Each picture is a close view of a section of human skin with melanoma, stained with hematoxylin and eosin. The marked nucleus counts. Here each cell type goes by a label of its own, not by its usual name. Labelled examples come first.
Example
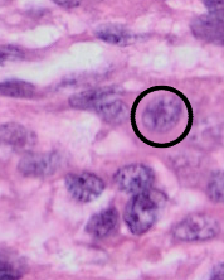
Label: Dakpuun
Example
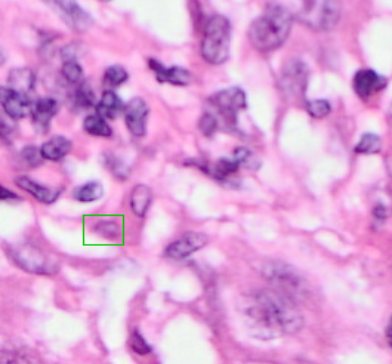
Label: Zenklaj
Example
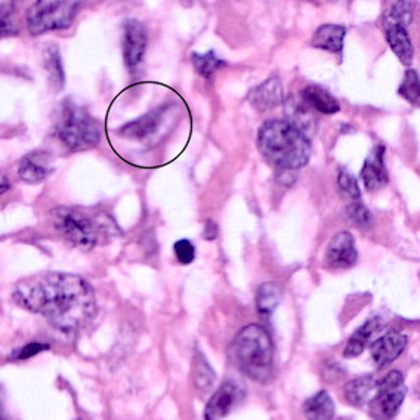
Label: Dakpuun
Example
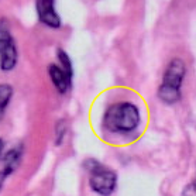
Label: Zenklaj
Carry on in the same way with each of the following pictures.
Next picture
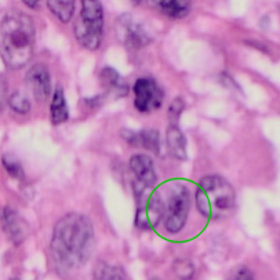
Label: Dakpuun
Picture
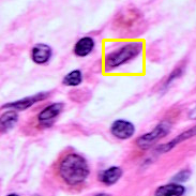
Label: Zenklaj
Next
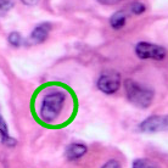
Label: Zenklaj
